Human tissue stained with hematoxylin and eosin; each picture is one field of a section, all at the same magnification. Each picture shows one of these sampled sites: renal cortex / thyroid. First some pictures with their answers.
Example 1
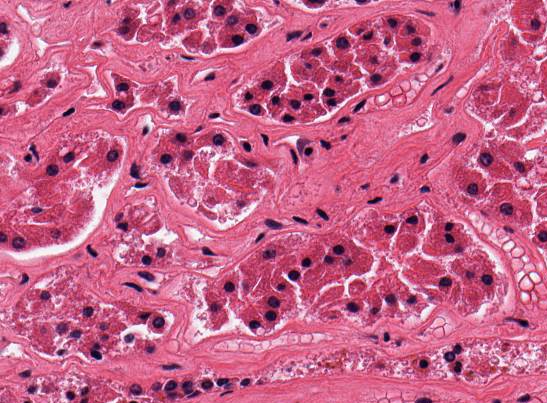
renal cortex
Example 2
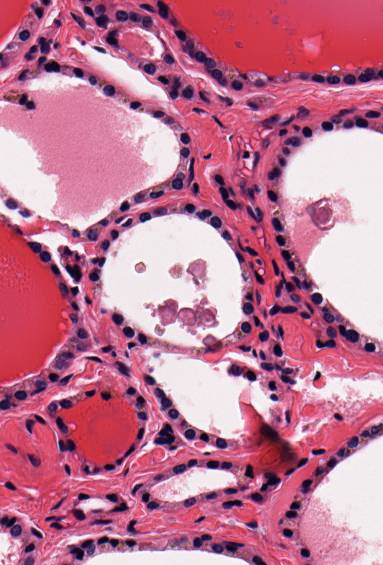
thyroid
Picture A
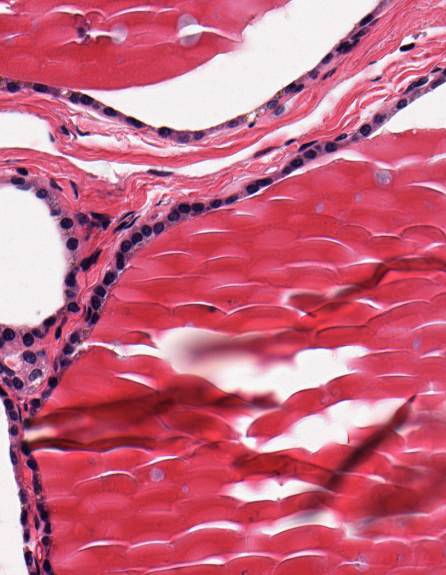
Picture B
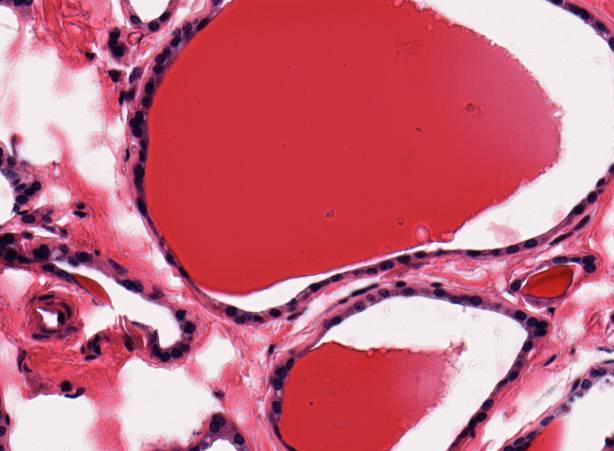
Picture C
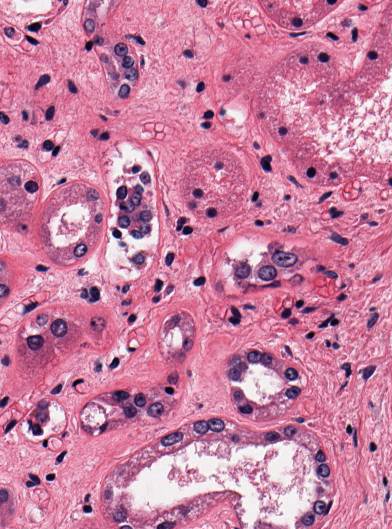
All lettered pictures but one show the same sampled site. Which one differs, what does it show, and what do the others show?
Different: C, renal cortex. Others: thyroid.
